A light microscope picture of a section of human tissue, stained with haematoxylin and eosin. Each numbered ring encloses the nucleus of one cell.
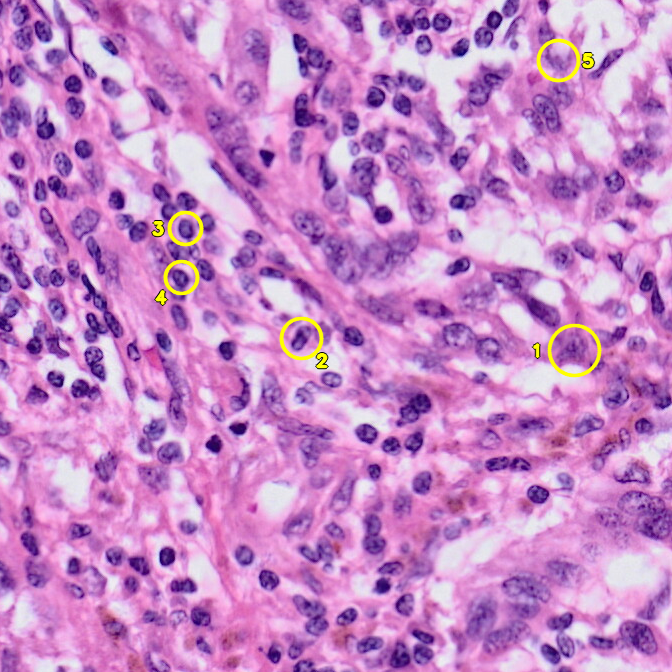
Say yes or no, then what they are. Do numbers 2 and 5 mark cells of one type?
No, by type, cell 2 is a lymphocyte and cell 5 is a melanoma cell.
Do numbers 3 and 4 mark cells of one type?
Yes, cells 3 and 4 both count as lymphocytes.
